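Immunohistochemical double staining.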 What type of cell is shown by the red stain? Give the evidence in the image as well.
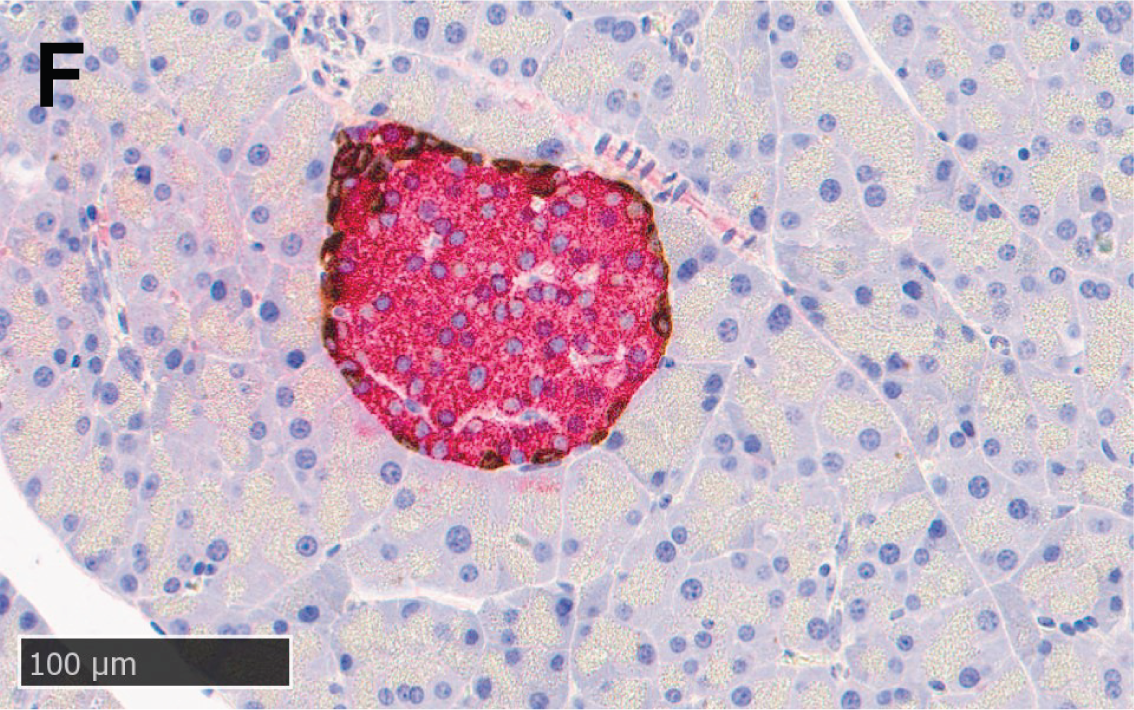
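Insulin-. Red stain fills the core of a round cluster of cells amid the acini. Brown cells form a thin rim around it.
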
